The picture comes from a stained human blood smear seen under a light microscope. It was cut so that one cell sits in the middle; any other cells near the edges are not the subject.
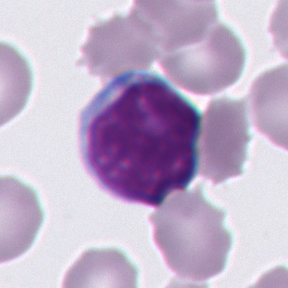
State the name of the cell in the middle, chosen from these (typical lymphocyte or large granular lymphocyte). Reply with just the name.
typical lymphocyte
